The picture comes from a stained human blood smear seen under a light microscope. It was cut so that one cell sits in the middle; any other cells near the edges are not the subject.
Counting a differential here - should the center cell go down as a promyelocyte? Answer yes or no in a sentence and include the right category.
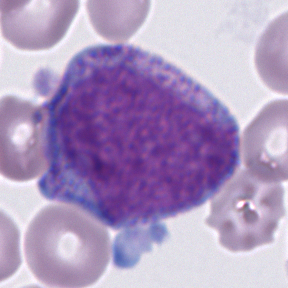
Yes, it is a promyelocyte that is seen at the centre of the crop.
